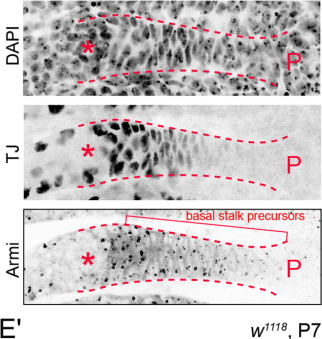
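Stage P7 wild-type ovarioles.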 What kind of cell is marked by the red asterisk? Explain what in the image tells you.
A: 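The asterisk lies among larger round nuclei at the wide end of the ovariole. Strongly labelled small nuclei lie around these larger nuclei. On this evidence: germline cells.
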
